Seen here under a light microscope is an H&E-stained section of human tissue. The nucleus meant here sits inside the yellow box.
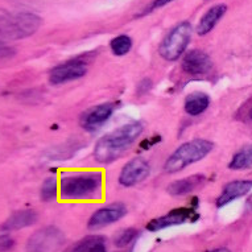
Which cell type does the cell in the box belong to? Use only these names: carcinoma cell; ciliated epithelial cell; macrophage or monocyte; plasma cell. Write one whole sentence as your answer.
What the cell in the box represents is a plasma cell.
